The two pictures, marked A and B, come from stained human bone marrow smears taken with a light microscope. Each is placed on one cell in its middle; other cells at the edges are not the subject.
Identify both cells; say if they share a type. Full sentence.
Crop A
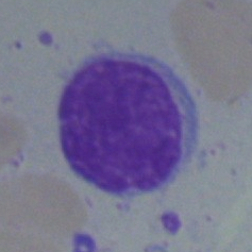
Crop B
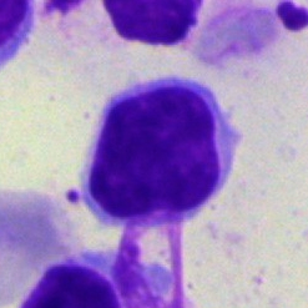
Yes, both crops show lymphocytes, with no exception.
